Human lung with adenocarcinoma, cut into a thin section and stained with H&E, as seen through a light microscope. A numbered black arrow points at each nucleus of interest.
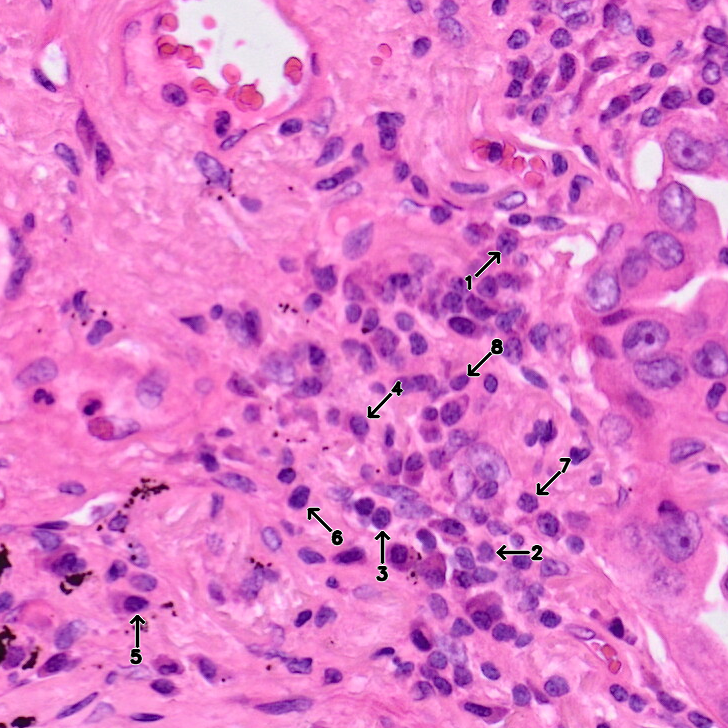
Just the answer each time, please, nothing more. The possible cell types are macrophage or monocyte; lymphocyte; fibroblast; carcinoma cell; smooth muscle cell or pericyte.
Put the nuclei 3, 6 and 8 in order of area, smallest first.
8, 3, 6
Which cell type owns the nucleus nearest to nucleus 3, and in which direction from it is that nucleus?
a lymphocyte; above and to the left of nucleus 3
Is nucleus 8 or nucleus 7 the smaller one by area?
8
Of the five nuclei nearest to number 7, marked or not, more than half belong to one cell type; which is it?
lymphocyte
